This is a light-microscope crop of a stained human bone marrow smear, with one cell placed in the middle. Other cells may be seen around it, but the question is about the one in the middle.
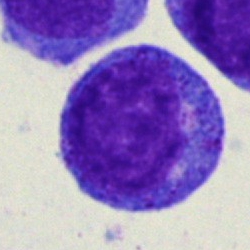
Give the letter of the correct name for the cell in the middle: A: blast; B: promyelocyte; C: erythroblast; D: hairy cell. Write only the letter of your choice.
B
